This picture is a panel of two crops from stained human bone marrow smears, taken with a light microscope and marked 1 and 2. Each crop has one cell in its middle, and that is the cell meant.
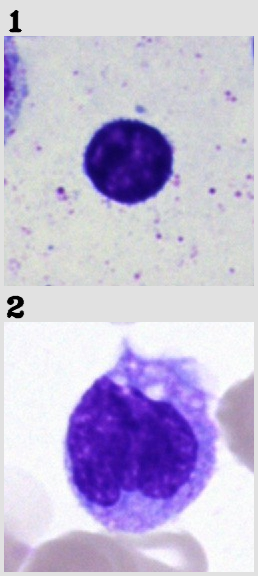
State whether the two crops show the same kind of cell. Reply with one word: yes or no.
no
